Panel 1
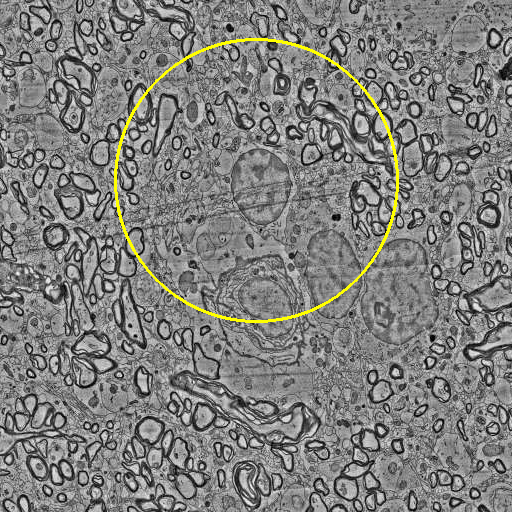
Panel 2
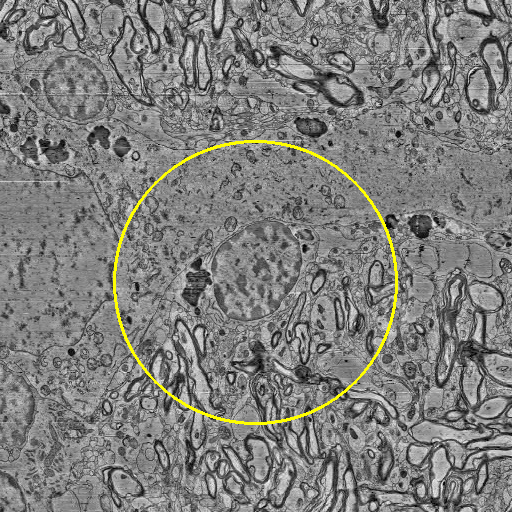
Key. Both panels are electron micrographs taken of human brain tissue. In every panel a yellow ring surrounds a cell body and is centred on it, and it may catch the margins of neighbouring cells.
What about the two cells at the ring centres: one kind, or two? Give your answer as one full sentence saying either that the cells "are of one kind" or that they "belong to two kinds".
Across Panels 1 and 2, the two cells at the ring centres are of one kind.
